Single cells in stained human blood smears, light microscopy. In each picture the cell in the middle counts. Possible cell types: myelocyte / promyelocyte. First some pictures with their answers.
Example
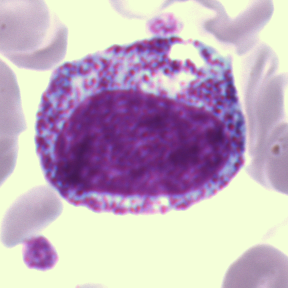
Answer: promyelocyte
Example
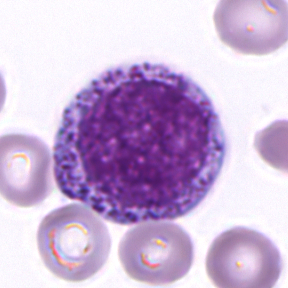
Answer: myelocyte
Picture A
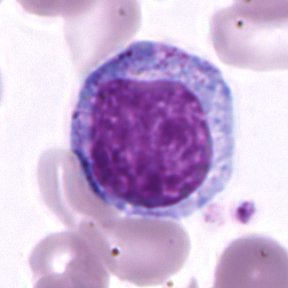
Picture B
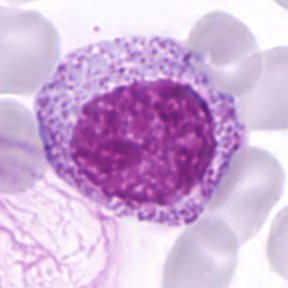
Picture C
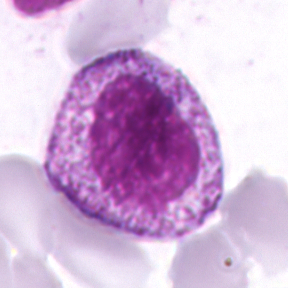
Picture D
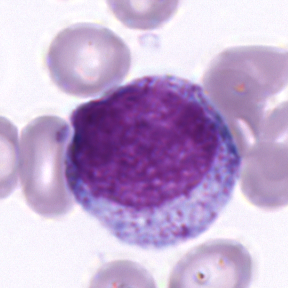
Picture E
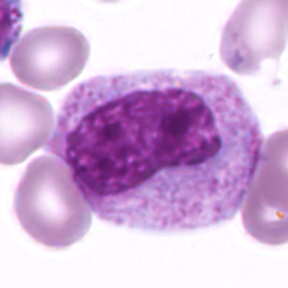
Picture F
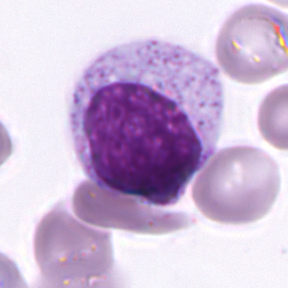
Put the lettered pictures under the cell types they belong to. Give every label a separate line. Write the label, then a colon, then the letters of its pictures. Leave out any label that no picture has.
myelocyte: B, C, E, F
promyelocyte: A, D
